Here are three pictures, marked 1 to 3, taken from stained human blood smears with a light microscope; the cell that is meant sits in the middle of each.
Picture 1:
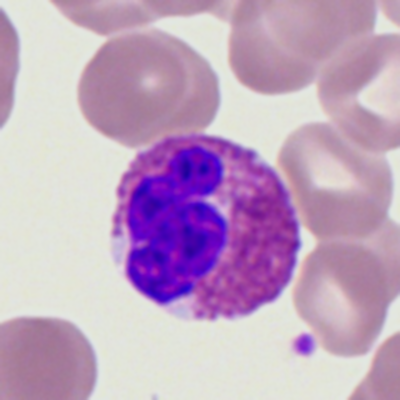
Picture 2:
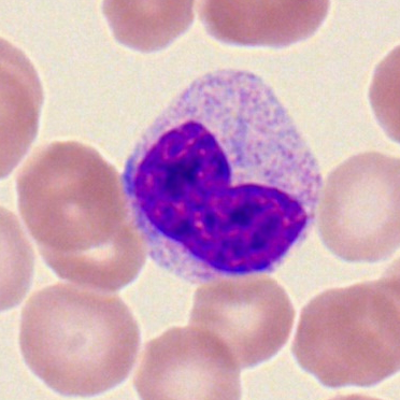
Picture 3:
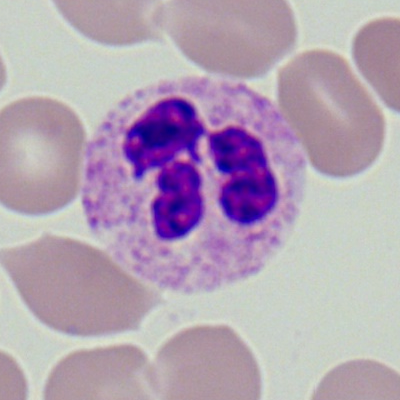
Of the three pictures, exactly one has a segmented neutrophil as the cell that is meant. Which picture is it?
3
